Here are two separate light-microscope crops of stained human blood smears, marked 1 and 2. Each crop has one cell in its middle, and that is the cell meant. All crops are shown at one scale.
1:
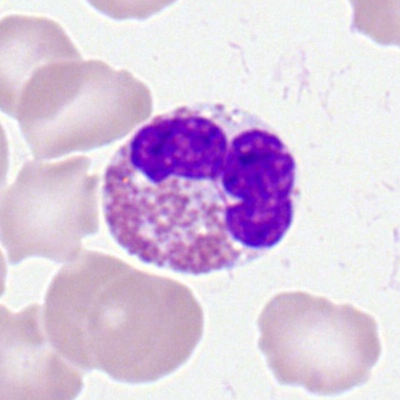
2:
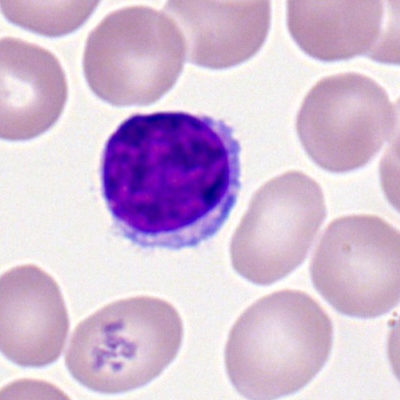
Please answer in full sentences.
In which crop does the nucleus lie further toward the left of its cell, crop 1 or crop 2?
It is the nucleus in crop 2 that lies further toward the left of its cell.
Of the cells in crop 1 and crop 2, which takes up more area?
It is the cell in crop 1, about 1.5 times as large in area as the cell in crop 2.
